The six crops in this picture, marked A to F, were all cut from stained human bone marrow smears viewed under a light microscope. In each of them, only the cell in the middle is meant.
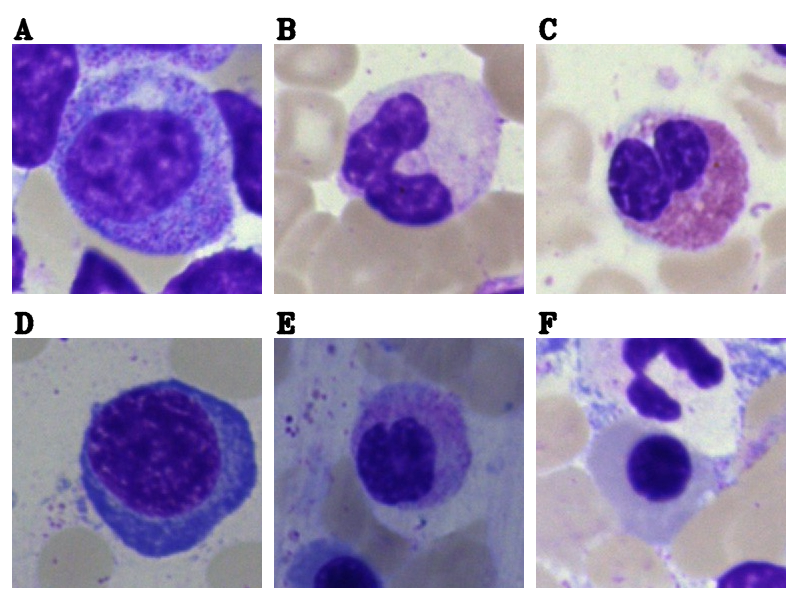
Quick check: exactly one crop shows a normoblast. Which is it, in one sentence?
The crop in which a normoblast is shown is crop F.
